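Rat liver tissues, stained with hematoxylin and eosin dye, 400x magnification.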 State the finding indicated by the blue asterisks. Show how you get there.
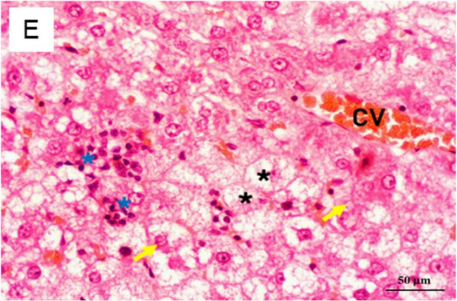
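Lobular inflammation. Clusters of small, dark-staining nuclei sit among the hepatocytes. The clusters lie within the lobule away from the vein wall.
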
